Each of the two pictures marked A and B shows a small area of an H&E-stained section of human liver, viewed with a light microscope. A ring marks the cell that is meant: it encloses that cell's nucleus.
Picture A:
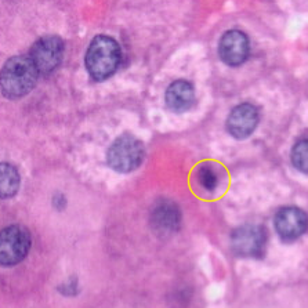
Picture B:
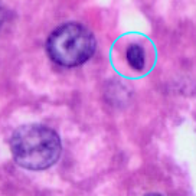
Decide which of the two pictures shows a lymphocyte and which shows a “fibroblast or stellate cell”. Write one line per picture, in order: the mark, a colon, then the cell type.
A: fibroblast or stellate cell
B: lymphocyte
